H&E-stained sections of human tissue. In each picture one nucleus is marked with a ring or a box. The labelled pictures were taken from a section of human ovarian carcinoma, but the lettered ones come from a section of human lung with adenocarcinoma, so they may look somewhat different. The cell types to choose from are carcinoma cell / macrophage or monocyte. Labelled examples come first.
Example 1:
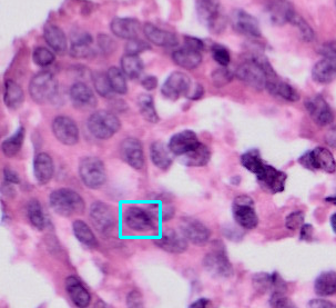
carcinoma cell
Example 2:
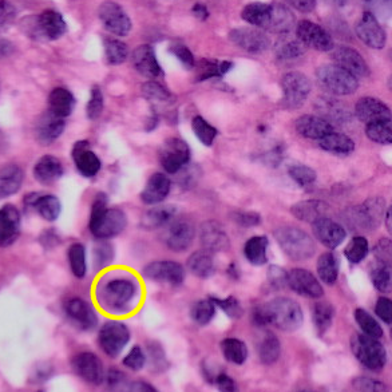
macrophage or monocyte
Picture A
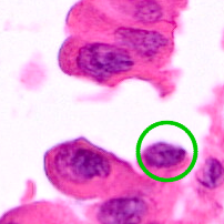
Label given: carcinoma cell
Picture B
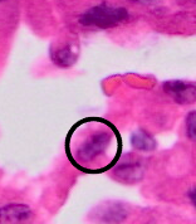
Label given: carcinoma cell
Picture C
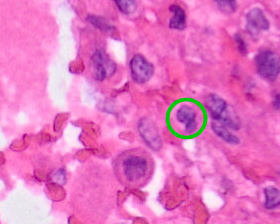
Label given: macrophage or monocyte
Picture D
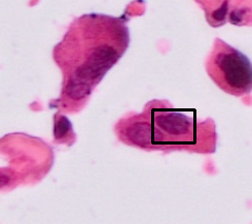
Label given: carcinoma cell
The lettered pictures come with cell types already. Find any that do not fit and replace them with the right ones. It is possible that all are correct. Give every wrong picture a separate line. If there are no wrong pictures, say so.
B: macrophage or monocyte, not carcinoma cell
